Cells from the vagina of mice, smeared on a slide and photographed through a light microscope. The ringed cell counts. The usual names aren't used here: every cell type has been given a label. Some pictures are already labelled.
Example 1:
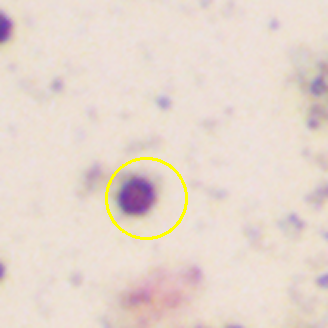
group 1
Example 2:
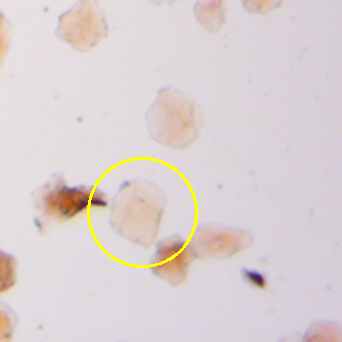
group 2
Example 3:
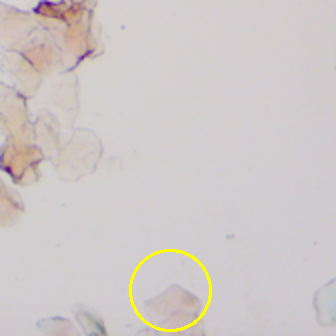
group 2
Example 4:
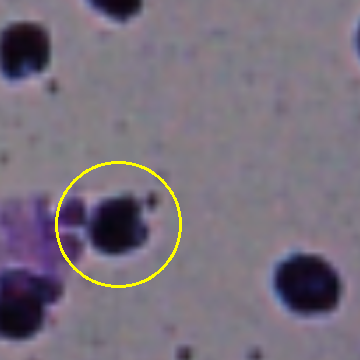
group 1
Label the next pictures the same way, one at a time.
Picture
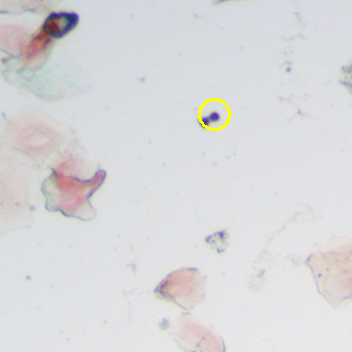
group 1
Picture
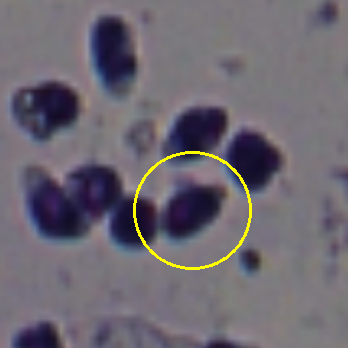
group 1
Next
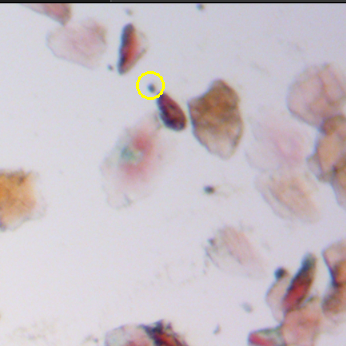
group 1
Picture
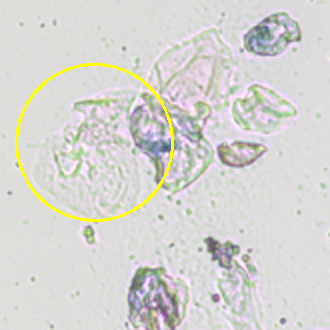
group 2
